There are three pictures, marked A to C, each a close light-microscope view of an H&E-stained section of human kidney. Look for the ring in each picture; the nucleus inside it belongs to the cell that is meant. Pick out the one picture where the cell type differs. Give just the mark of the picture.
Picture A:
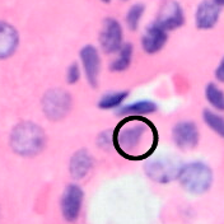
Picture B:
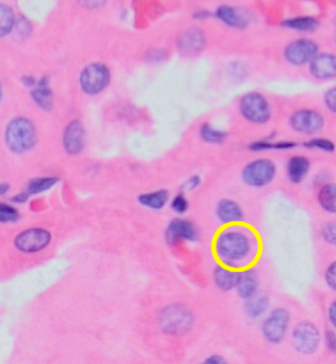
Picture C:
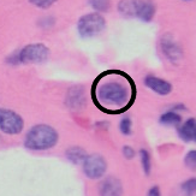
C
